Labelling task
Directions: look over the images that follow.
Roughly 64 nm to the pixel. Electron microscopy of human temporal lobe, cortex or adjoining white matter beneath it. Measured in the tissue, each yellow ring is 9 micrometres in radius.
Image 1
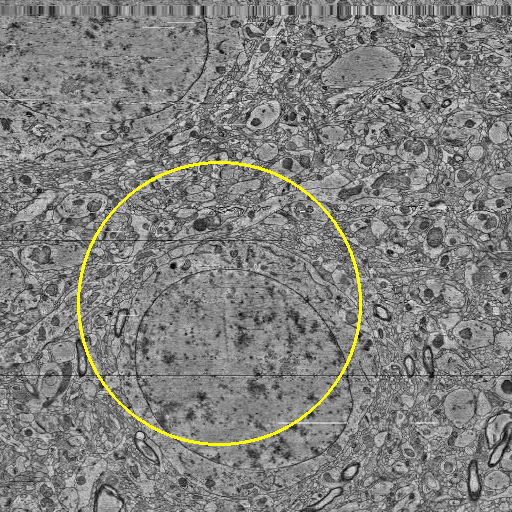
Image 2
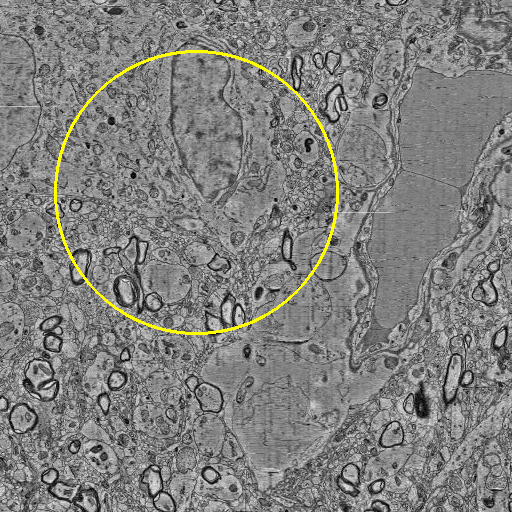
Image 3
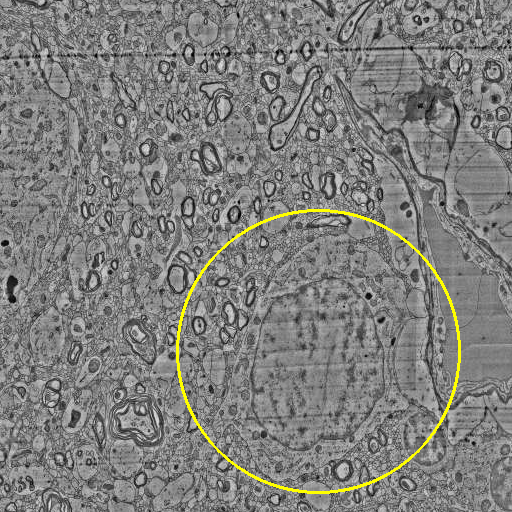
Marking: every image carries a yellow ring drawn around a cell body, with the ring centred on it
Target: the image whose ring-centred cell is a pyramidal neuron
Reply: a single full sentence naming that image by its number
The requested cell sits at the ring's centre in Image 1.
